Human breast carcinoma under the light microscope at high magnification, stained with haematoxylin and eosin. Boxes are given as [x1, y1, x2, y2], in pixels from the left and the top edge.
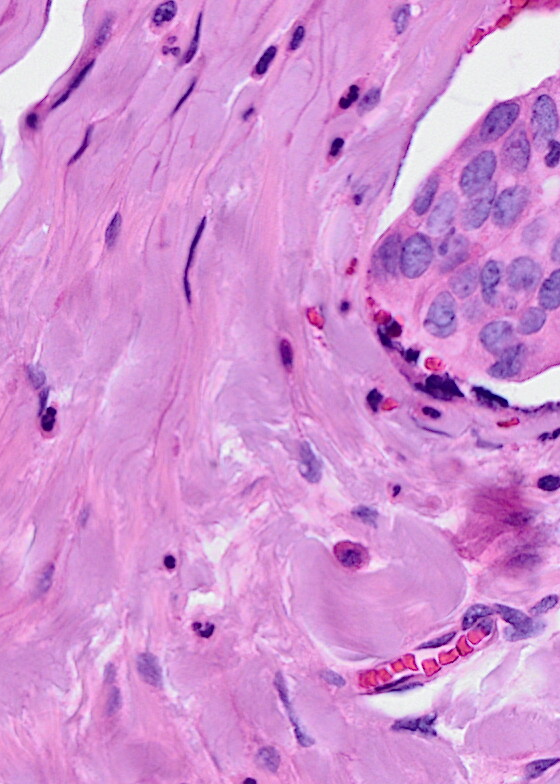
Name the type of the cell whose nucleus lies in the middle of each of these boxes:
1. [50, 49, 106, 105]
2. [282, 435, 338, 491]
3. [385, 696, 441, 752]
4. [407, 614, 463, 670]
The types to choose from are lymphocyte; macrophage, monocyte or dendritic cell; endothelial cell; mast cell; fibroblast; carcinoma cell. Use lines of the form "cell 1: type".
cell 1: fibroblast
cell 2: fibroblast
cell 3: fibroblast
cell 4: endothelial cell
